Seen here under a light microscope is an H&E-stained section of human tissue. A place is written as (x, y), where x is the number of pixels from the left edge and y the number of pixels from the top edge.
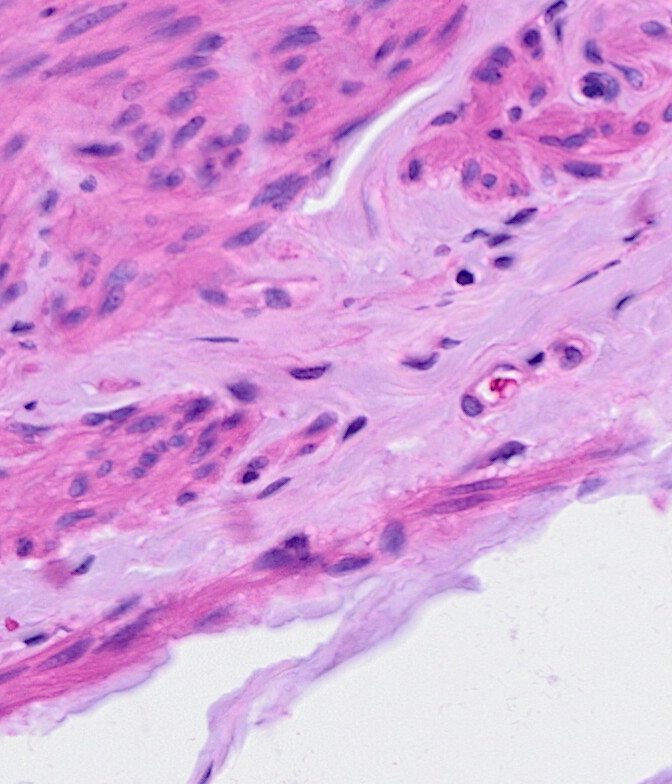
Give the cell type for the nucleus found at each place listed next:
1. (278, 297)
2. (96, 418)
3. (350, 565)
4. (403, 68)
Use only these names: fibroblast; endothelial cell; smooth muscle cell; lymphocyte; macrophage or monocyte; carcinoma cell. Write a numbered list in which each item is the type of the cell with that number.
1. endothelial cell
2. smooth muscle cell
3. smooth muscle cell
4. smooth muscle cell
